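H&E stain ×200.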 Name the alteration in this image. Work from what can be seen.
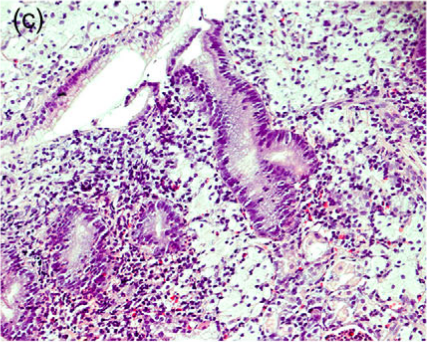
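Many pale cells with clear, bubbly cytoplasm fill the lamina propria between glands. The pale cells lie in clusters beside denser inflammatory cells. The answer: xanthoma.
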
